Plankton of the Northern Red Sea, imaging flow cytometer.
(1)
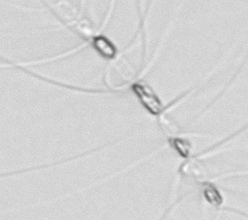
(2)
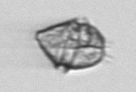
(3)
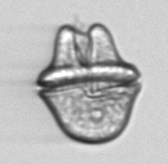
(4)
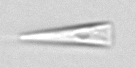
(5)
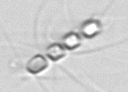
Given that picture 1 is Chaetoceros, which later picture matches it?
5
